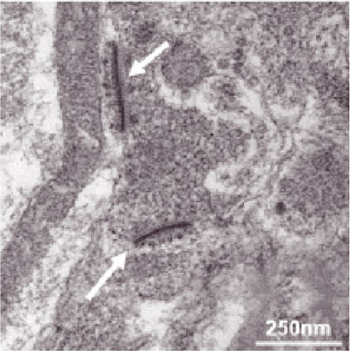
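Two thin, dark electron-dense bands mark membrane appositions: one straight and vertical in the upper left, lying along an elongated profile, the other shorter and slightly curved in the lower centre. A central profile has densely granular cytoplasm, set among neighbouring profiles of differing density separated by pale, irregular membrane-bounded spaces. Rounded granular profiles lie at the upper right. No nuclei are in view; only parts of cells are seen at high magnification.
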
